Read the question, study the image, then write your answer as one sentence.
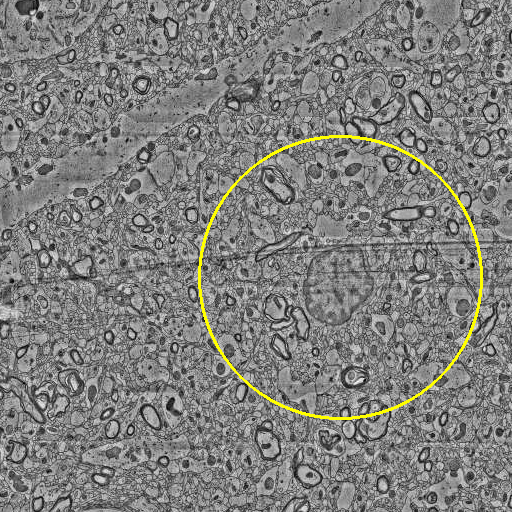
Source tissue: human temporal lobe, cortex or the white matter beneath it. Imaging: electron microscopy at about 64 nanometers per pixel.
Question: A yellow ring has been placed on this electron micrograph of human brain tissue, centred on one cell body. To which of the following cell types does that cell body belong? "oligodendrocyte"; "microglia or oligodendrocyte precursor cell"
That cell body belongs to an oligodendrocyte.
